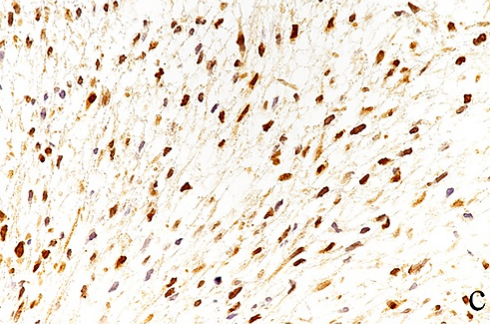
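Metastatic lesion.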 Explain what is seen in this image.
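Spindle tumor cells lie loosely scattered in a pale, fibrillary stroma, oriented roughly in one direction. Many of the elongated nuclei are stained brown, and fine brown-stained threadlike processes extend between the cells.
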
